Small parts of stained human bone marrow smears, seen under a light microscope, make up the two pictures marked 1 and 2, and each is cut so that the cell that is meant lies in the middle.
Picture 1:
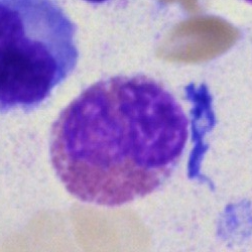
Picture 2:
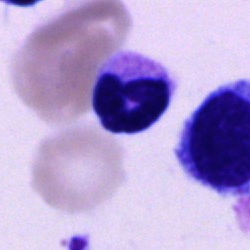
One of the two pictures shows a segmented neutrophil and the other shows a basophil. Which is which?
1: basophil
2: segmented neutrophil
